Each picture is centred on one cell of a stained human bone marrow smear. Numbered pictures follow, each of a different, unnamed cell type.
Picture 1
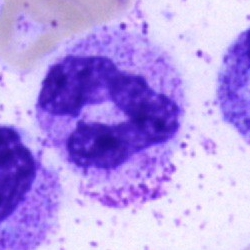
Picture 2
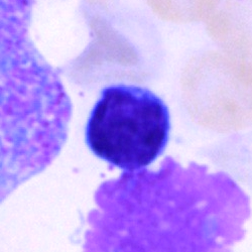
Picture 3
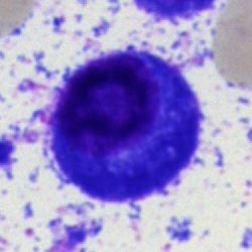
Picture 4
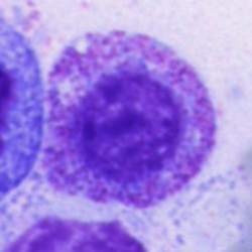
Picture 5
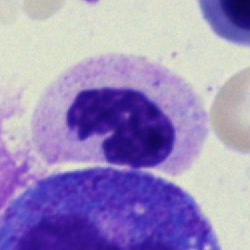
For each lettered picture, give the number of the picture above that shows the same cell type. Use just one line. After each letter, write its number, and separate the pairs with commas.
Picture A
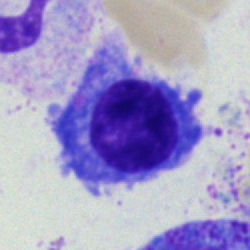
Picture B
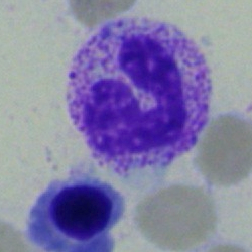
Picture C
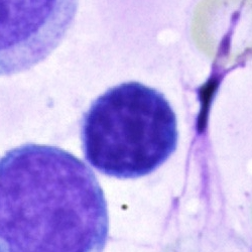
A 3, B 5, C 2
